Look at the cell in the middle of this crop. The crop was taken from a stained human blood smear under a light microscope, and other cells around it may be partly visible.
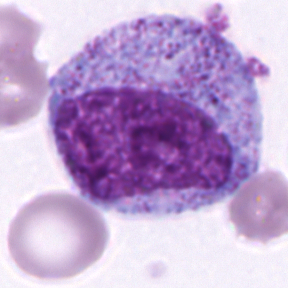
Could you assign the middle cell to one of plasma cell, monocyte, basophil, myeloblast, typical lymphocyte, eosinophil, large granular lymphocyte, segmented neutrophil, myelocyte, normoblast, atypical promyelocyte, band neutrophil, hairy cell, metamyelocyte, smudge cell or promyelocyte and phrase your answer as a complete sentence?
The centrally located cell in the crop is a promyelocyte.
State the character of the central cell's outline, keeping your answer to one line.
The cytoplasmic margin is uneven, whether through ragged segments or through projections.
